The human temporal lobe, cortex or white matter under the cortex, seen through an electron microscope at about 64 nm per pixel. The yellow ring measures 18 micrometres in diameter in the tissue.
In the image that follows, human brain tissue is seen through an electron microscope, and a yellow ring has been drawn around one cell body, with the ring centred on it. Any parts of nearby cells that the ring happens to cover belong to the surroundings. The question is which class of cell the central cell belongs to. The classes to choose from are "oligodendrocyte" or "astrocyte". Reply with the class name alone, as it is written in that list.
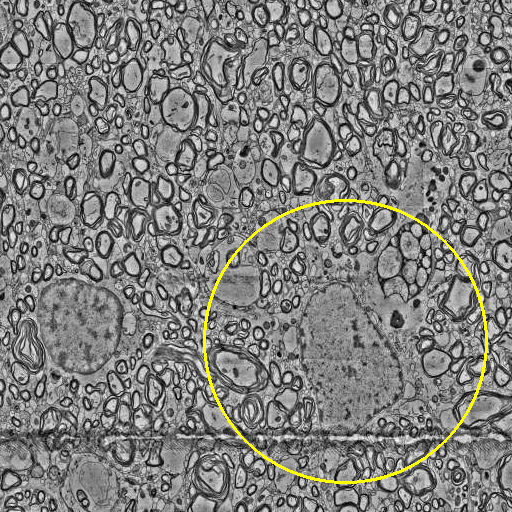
astrocyte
